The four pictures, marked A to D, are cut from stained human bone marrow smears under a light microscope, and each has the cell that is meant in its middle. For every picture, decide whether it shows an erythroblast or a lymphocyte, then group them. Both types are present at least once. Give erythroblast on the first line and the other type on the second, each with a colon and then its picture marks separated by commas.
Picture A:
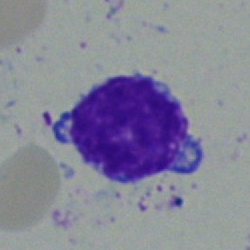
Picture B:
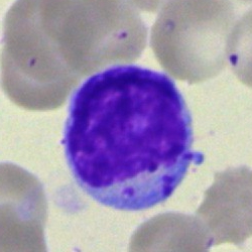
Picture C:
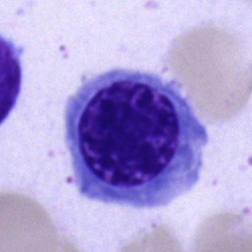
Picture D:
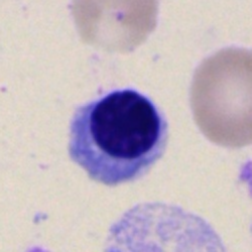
erythroblast: C, D
lymphocyte: A, B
